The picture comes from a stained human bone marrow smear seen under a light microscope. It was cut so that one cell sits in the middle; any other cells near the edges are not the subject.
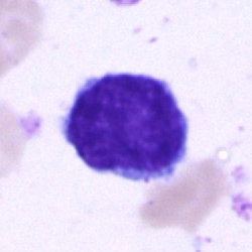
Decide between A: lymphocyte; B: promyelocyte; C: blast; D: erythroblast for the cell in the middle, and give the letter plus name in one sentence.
Option A gets it right: the cell in the middle is a lymphocyte.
